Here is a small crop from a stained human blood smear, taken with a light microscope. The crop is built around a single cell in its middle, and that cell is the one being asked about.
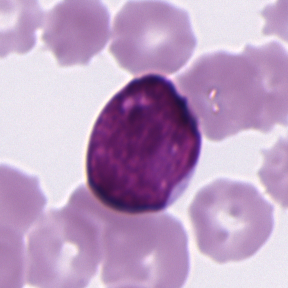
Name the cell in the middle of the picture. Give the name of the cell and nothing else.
myeloblast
